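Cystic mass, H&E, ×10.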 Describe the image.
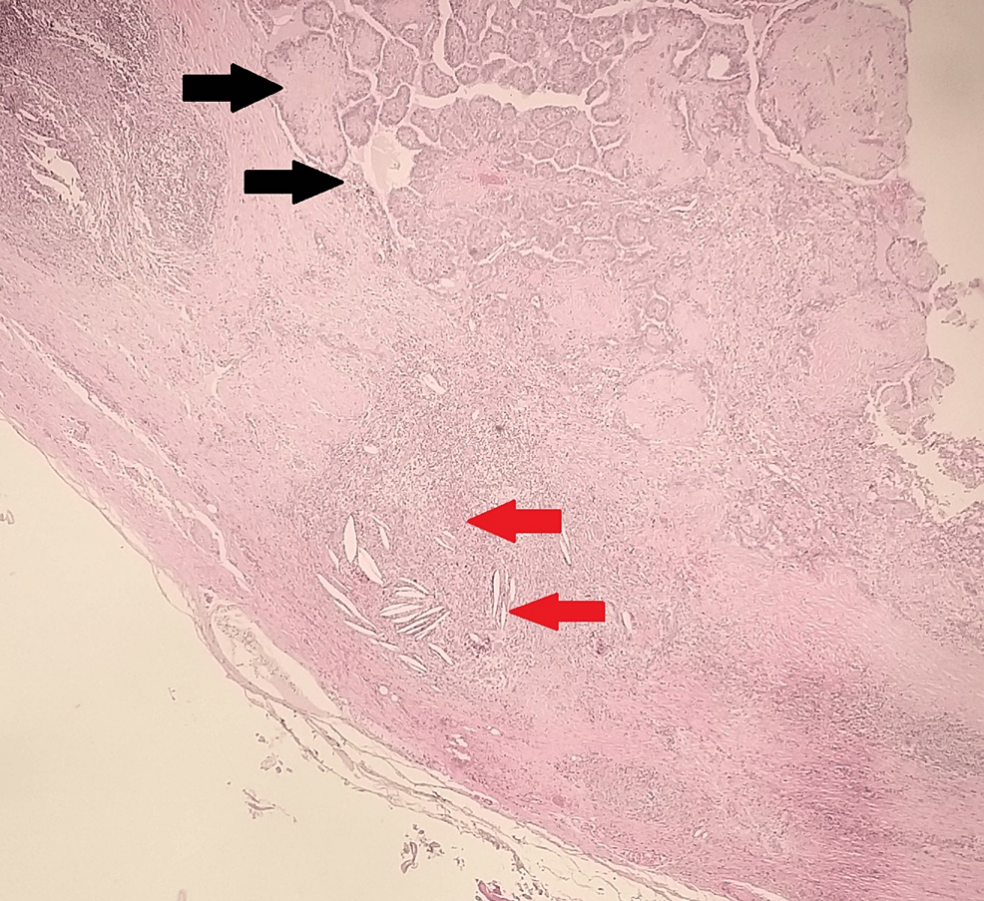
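At low power, crowded papillary fronds fill the upper part of the section. Each frond is lined by a darker rim of cells around a pale pink core. Below the fronds, a pink fibrous wall holds a cluster of empty, elongated needle-shaped clefts within cellular stroma, and a denser purple cellular zone lies at the upper left. These are papillary tumor cells with an adjacent foreign-body-type reaction featuring cholesterol clefts.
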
